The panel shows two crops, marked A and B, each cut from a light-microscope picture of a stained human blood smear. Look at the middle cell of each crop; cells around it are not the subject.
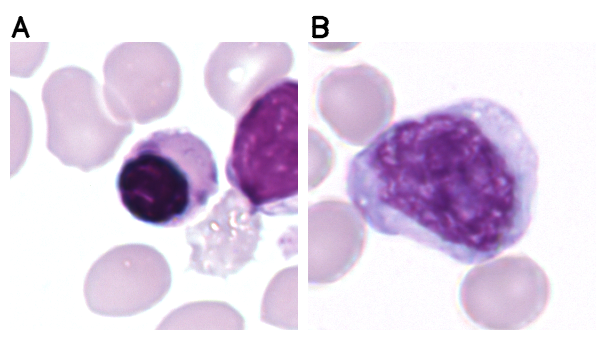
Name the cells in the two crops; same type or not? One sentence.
No, crop B centres on a plasma cell, and crop A centres on a normoblast.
